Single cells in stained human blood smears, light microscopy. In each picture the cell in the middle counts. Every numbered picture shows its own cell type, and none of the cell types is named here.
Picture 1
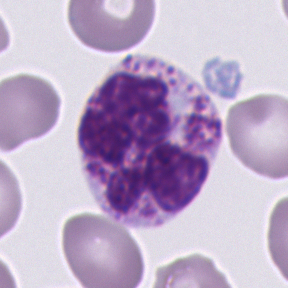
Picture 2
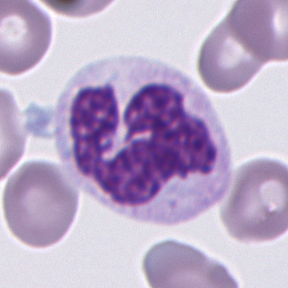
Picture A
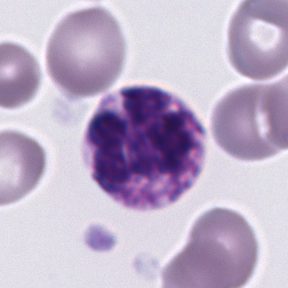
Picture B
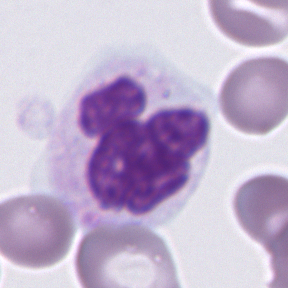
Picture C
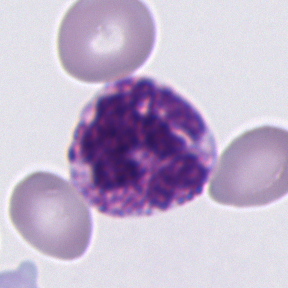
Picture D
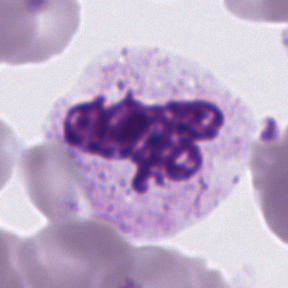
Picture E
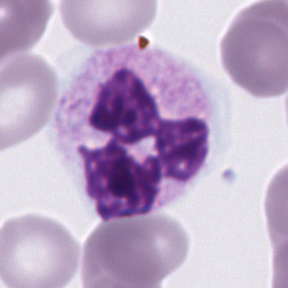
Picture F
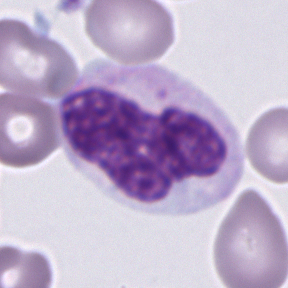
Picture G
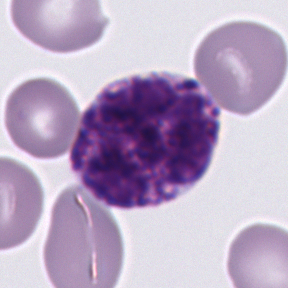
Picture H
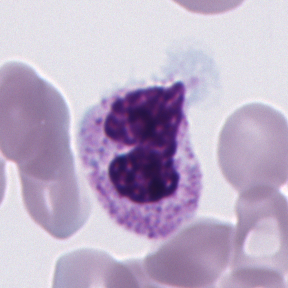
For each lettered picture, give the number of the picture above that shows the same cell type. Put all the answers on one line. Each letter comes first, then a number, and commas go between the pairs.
A 1, B 2, C 1, D 2, E 2, F 2, G 1, H 2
